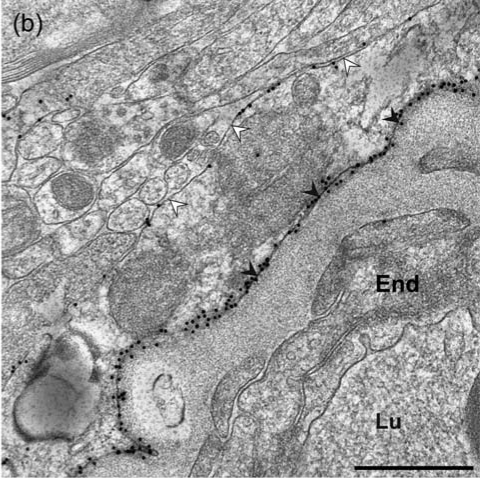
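A broad basal lamina runs diagonally between the vessel wall and the astrocytic endfoot, and the endfoot membrane along it carries a dense row of black gold particles. Above and to the left lies neuropil with many small membrane-bound profiles and mitochondria. Gold particles are also scattered along membranes facing this neuropil.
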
